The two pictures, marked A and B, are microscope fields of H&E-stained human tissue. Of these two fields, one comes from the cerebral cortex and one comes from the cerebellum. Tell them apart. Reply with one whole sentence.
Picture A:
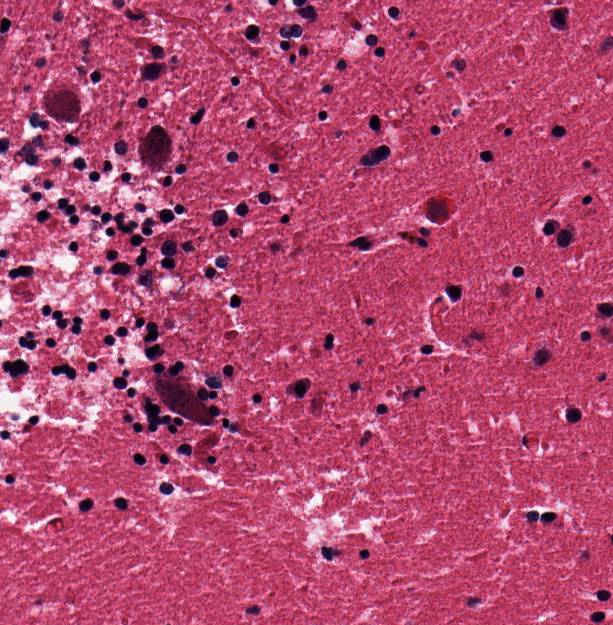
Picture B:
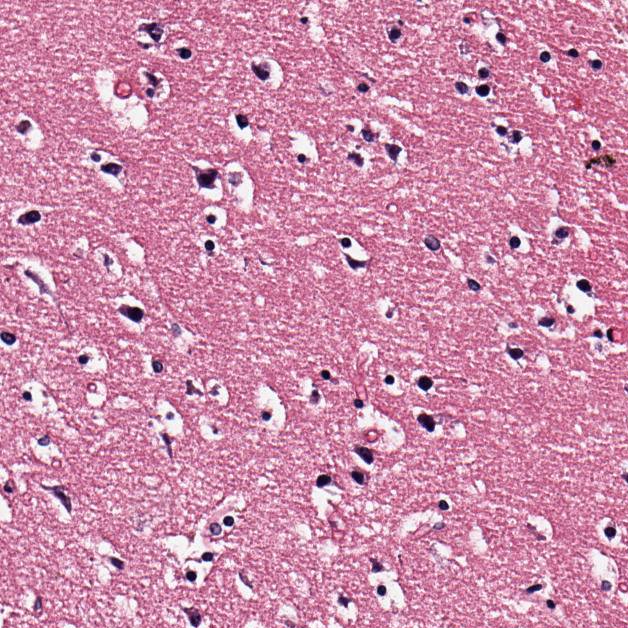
Picture A comes from the cerebellum and picture B comes from the cerebral cortex.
